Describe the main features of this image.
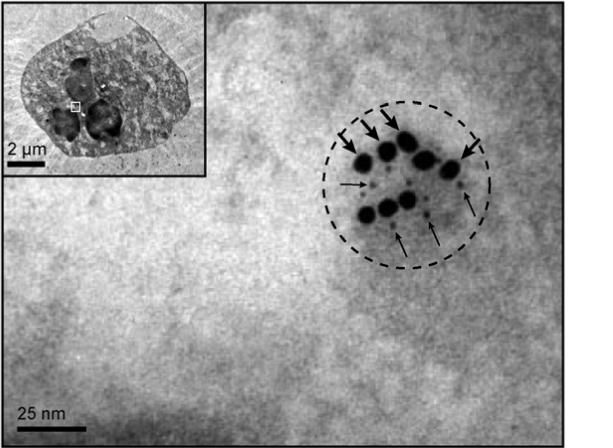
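A neutrophil seen by transmission electron microscopy. In the low-power inset, the rounded cell holds several dense, rounded nuclear lobes, and a small white square marks a spot of cytoplasm between them. The enlargement of that spot shows finely granular, grey cytoplasm with a single tight cluster of electron-dense gold particles, enclosed by a dashed circle.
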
